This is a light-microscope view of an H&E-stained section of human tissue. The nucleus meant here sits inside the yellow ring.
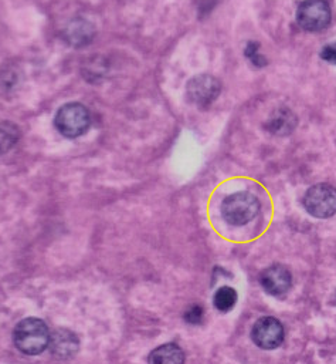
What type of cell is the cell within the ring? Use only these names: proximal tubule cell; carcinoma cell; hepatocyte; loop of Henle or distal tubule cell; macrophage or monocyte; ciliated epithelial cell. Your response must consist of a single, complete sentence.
Among the cells in this section, the cell within the ring is a hepatocyte.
